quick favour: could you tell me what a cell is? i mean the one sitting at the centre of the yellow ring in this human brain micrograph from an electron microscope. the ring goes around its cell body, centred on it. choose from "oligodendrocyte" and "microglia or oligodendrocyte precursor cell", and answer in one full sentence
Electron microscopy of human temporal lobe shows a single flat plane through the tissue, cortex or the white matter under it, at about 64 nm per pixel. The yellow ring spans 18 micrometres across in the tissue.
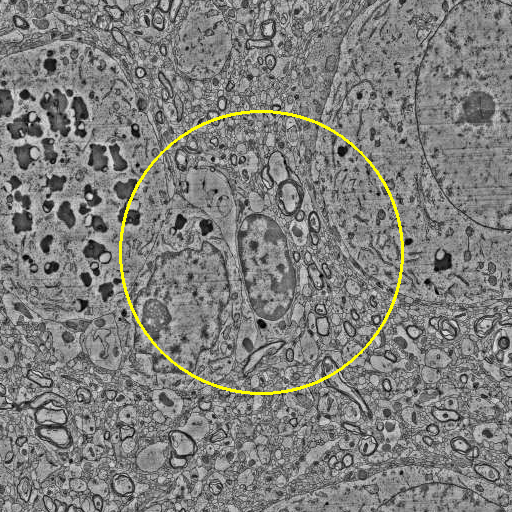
That's a microglial cell or oligodendrocyte precursor cell, the cell sitting at the centre of the yellow ring.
